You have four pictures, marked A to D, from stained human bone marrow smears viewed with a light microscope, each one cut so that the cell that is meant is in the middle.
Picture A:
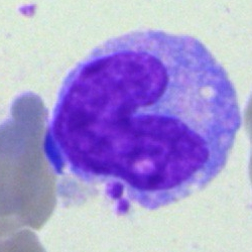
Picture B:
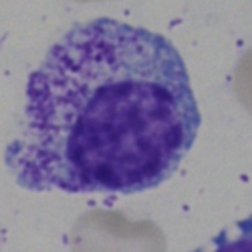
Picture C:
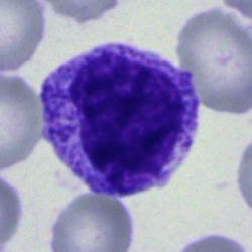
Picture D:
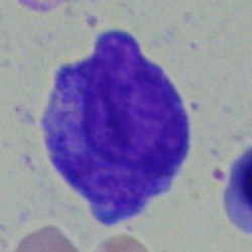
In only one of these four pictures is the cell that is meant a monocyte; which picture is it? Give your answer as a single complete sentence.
Picture A is the one that shows the monocyte.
